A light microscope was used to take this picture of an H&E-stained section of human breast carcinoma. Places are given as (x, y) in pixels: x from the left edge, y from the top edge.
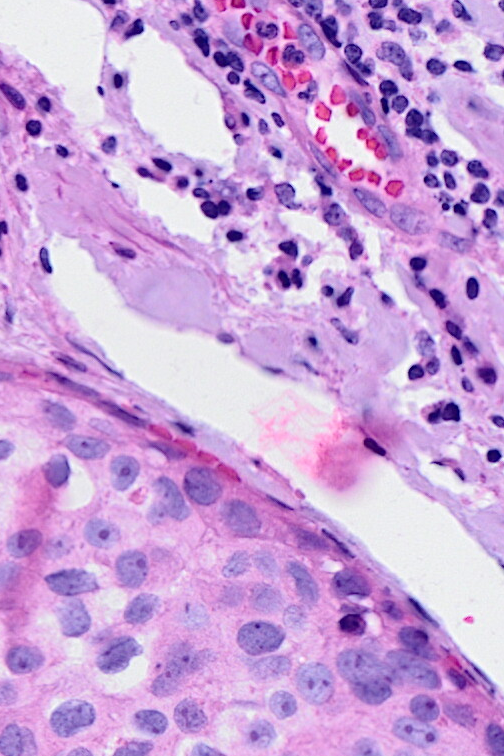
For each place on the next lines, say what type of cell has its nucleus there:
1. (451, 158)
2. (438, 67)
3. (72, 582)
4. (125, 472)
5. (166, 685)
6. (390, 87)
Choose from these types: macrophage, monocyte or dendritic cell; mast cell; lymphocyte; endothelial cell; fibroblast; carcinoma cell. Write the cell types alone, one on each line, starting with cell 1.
lymphocyte
lymphocyte
carcinoma cell
carcinoma cell
carcinoma cell
lymphocyte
